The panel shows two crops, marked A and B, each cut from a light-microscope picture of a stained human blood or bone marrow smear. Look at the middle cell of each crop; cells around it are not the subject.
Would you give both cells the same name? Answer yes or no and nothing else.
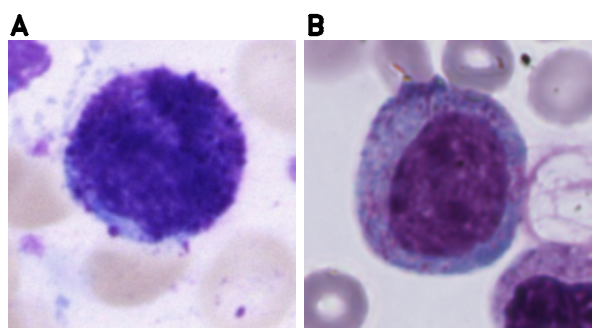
no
